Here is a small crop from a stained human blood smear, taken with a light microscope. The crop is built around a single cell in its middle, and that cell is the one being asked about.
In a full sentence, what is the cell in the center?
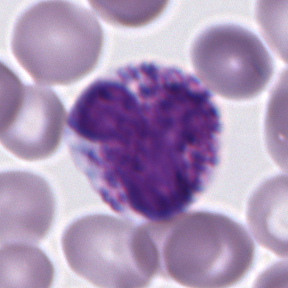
The cell positioned in the middle of the field is a basophil.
